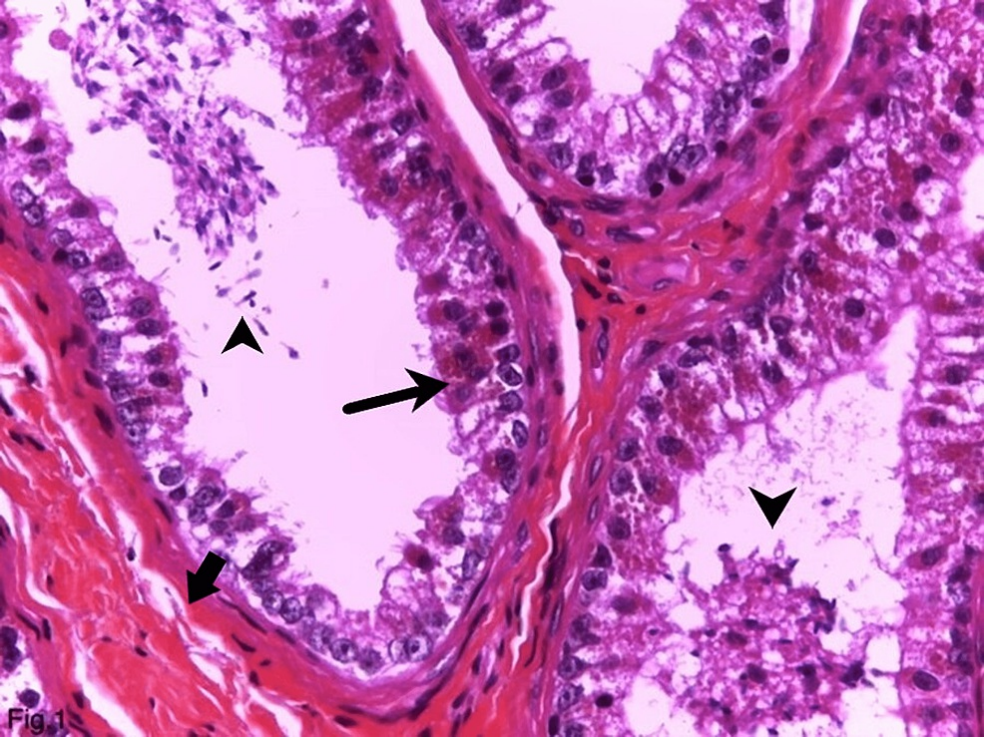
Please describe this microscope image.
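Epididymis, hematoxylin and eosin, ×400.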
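Dilated ducts are lined by tall columnar epithelial cells, and their lumina hold loose clusters of small, dark, elongated sperm cells. The luminal surface is frayed. Thin layers of flattened cells surround each duct. Between the ducts lies dense, glassy, intensely red-pink stroma that holds few scattered elongated nuclei. In the lower right a lumen holds pale, finely granular material and detached cells.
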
